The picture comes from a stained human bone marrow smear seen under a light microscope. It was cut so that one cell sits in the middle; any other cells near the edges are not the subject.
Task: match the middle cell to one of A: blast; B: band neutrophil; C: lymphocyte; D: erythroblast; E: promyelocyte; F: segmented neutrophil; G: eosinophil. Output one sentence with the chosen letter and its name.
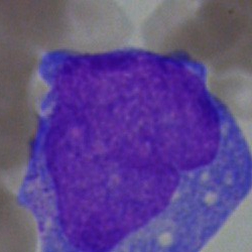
The cell in the middle is correctly identified as a blast in option A.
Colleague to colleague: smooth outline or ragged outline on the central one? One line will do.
The cytoplasmic margin is uneven, whether through ragged segments or through projections.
